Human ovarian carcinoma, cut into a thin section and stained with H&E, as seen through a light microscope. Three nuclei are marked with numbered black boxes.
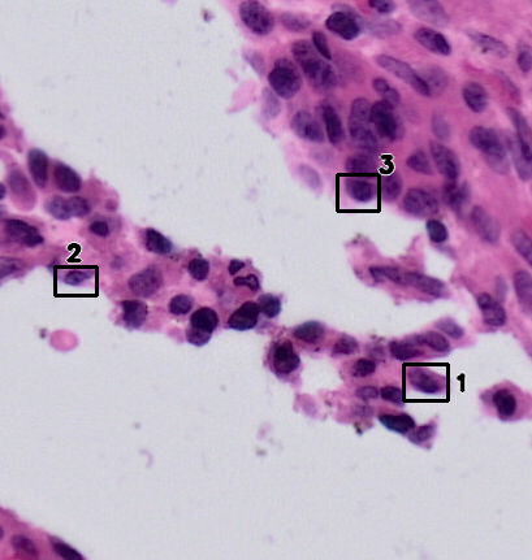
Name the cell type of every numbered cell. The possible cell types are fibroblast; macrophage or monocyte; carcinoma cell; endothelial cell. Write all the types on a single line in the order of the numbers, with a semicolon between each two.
carcinoma cell; macrophage or monocyte; carcinoma cell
